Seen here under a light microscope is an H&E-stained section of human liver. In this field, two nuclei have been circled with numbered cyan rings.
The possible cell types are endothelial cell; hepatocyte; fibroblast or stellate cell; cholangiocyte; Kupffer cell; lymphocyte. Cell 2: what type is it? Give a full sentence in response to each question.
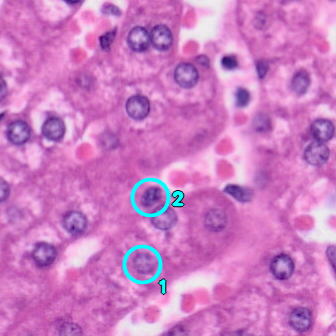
To a fibroblast or stellate cell belongs the nucleus marked 2.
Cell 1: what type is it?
The numbered cell 1 in this field is a hepatocyte.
